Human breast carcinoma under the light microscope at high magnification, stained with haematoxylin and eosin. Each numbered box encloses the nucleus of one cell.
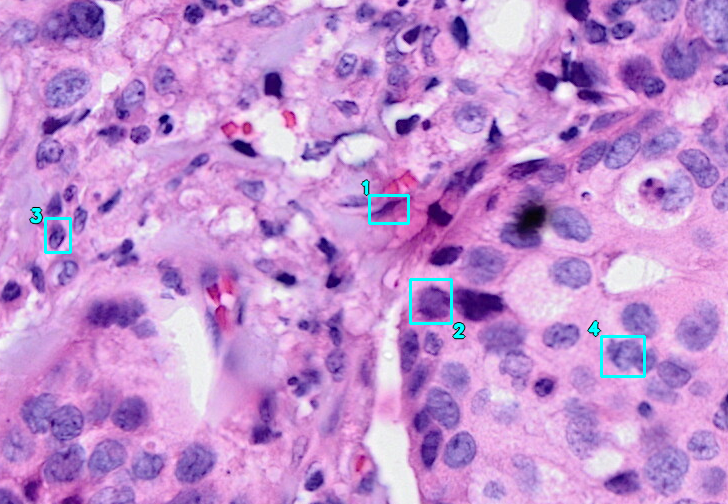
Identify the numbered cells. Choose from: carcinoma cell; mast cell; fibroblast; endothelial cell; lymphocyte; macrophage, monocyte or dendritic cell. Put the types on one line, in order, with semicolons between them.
endothelial cell; carcinoma cell; mast cell; carcinoma cell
